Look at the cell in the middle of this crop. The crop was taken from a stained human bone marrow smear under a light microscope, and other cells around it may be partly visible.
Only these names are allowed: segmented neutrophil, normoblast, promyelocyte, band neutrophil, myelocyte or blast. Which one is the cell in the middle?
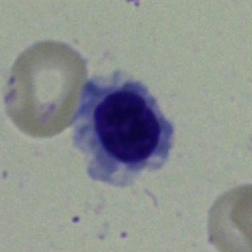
normoblast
